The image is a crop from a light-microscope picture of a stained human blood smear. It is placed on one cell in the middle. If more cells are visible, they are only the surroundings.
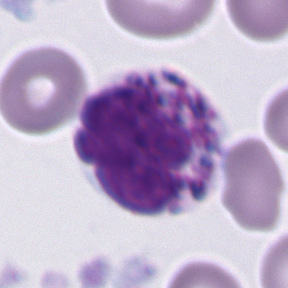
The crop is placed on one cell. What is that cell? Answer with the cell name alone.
basophil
